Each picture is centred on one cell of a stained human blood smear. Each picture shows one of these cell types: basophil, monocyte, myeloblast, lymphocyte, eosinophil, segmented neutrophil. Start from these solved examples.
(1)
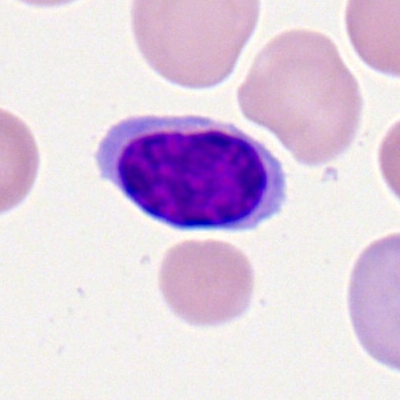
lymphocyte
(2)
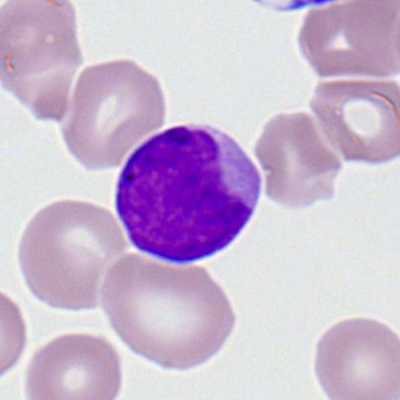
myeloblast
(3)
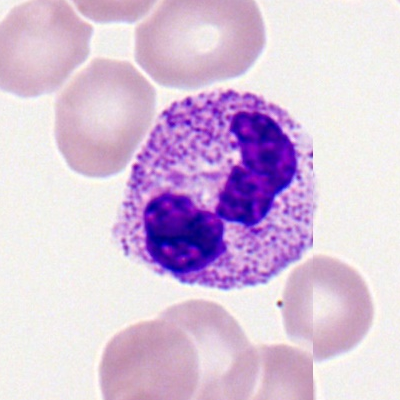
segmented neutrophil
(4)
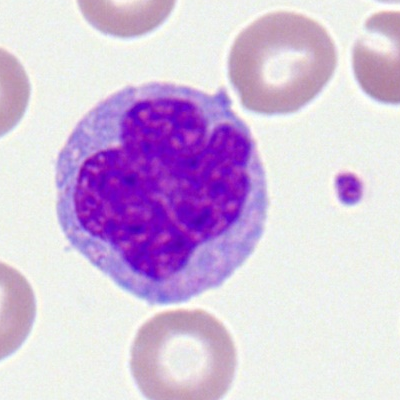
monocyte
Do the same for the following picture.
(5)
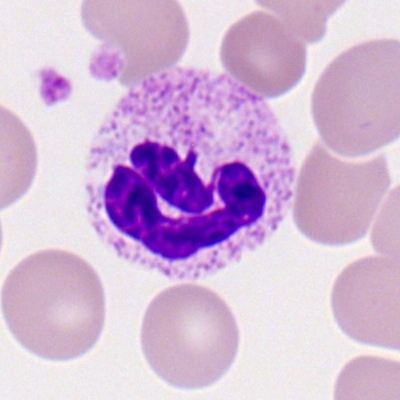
segmented neutrophil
